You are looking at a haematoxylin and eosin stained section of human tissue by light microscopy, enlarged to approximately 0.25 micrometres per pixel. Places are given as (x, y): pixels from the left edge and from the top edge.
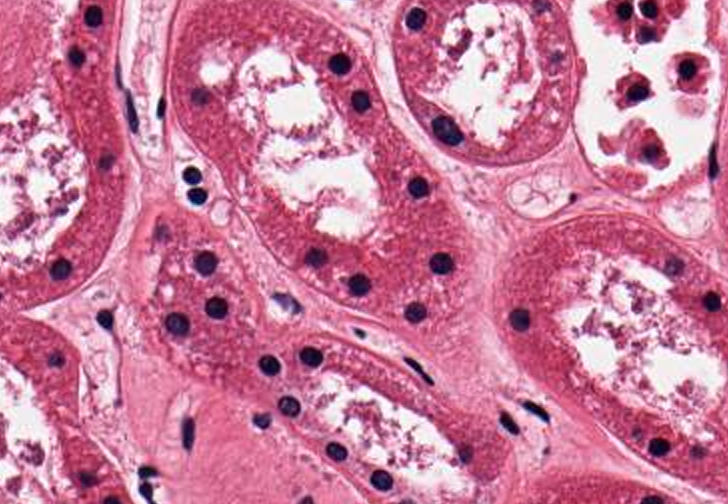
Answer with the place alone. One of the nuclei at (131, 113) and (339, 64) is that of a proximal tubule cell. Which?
(339, 64)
